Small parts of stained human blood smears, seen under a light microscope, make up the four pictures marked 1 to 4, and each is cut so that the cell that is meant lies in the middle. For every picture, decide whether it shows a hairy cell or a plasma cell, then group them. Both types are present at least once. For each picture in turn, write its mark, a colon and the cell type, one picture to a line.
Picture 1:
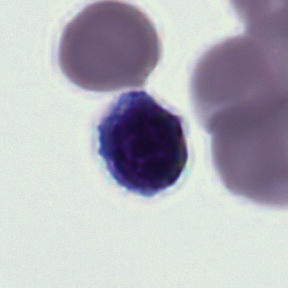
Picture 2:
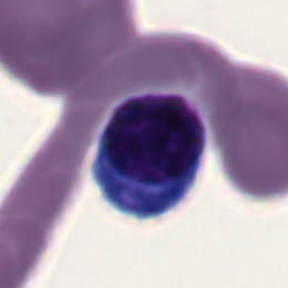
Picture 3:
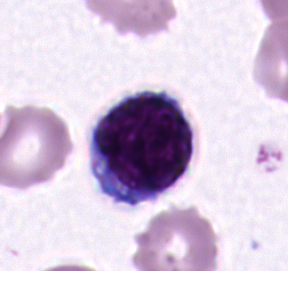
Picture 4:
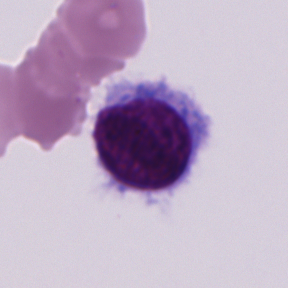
1: plasma cell
2: plasma cell
3: plasma cell
4: hairy cell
